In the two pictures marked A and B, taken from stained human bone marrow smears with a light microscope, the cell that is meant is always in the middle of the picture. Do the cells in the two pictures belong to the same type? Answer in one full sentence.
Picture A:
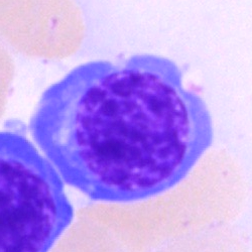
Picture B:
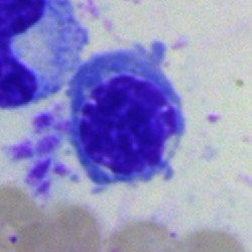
Yes, both are erythroblasts.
